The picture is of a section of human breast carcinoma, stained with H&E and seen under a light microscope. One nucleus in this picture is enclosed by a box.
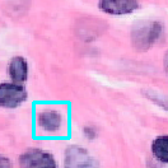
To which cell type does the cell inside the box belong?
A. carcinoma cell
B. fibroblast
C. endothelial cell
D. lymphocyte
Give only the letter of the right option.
D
